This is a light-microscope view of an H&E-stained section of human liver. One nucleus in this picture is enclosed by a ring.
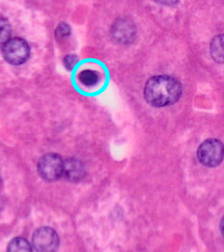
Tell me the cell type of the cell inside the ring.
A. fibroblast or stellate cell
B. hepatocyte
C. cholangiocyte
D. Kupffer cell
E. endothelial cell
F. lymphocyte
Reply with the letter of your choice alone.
F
